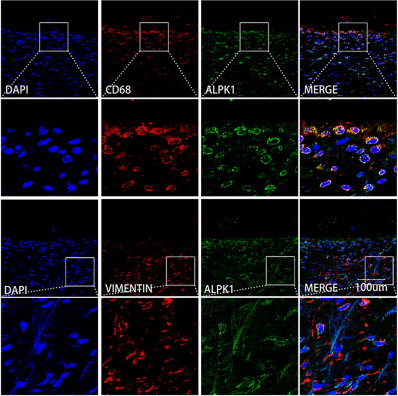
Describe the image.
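In the upper set, red rings outline cells with round to oval nuclei clustered near the surface, and the green signal lies in the same rings, so the merged cells appear yellow-orange around their nuclei. In the lower set the nuclei are more elongated and scattered in fibrous tissue, the red appears as fragmented streaks, and the green is fainter and more diffuse.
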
